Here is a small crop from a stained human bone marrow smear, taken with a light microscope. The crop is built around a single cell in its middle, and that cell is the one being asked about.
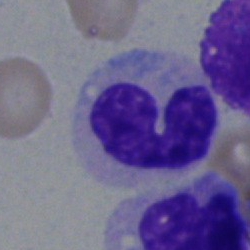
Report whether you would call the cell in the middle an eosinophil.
no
